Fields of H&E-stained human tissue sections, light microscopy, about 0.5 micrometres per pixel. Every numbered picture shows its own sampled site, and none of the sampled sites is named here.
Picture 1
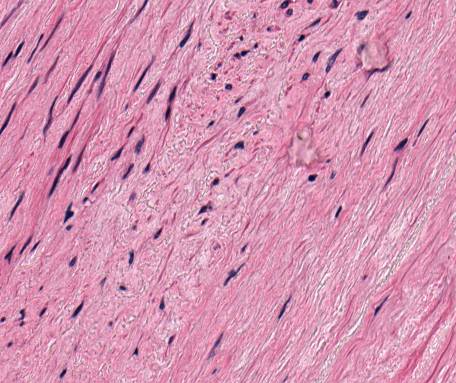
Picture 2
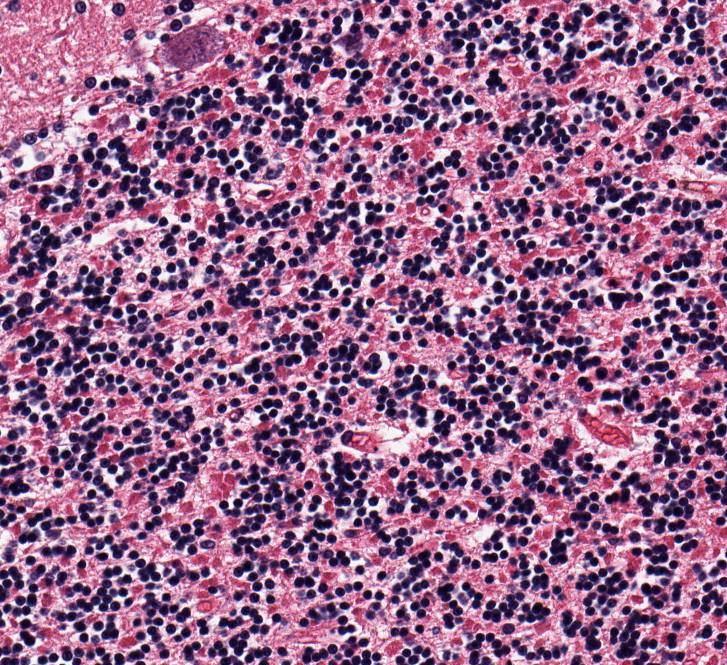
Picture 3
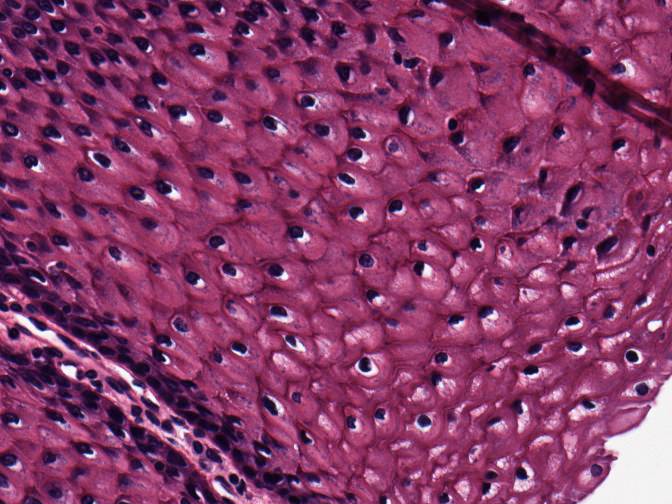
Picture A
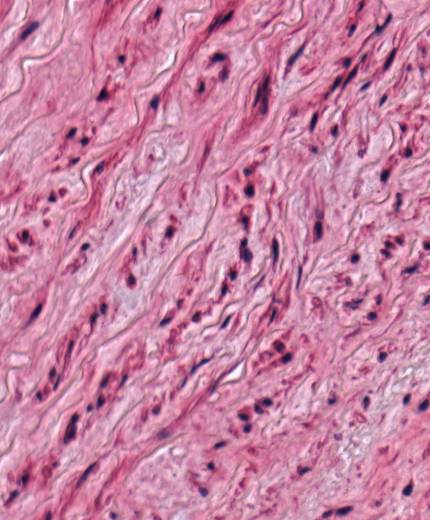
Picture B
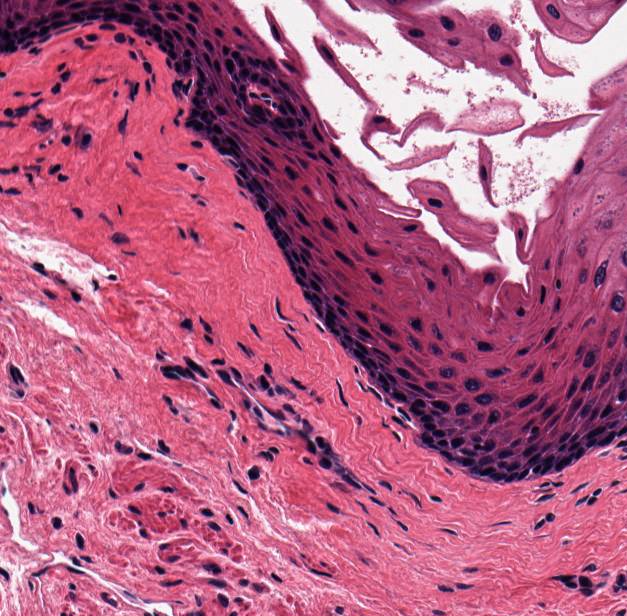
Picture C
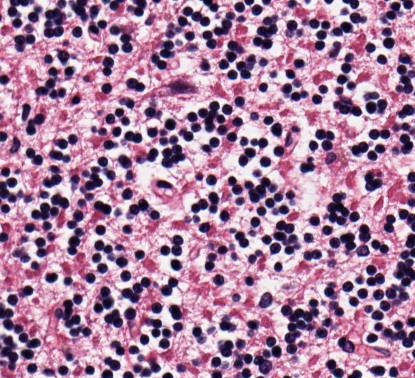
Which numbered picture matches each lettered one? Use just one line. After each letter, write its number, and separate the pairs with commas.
A 1, B 3, C 2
